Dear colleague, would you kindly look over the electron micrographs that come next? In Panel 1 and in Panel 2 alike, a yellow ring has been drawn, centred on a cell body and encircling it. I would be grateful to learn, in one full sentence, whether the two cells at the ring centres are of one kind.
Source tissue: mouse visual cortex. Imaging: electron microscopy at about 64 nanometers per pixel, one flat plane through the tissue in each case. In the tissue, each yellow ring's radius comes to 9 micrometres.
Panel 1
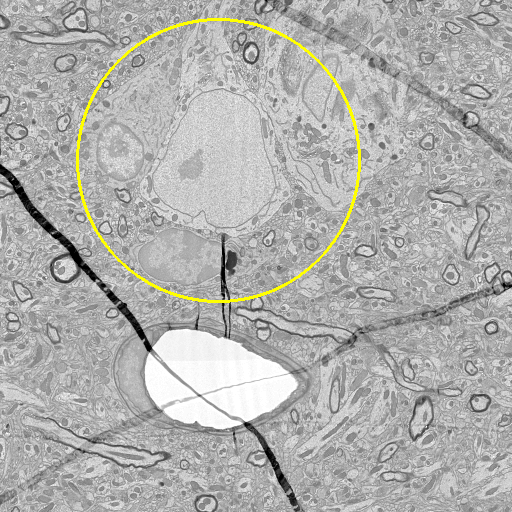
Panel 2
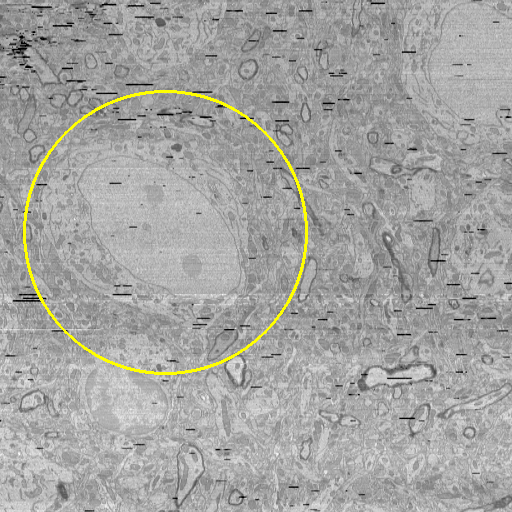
Yes, the cells in the middle of the rings in the two panels are of one kind.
